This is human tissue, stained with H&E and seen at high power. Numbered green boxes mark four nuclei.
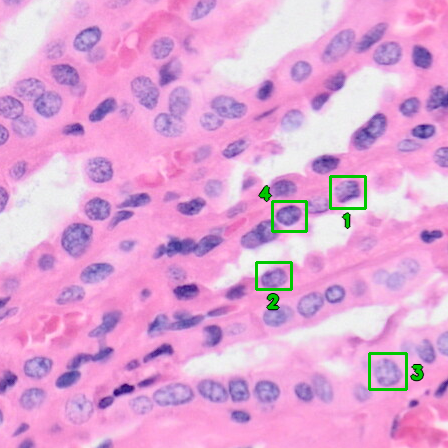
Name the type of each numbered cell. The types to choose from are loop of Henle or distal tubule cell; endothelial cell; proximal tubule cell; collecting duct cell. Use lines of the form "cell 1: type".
cell 1: loop of Henle or distal tubule cell
cell 2: loop of Henle or distal tubule cell
cell 3: collecting duct cell
cell 4: loop of Henle or distal tubule cell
